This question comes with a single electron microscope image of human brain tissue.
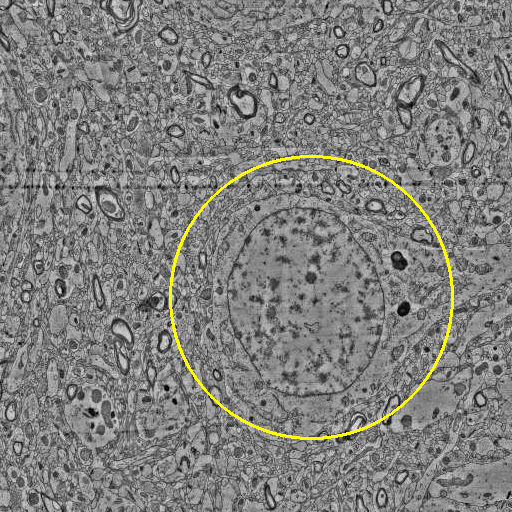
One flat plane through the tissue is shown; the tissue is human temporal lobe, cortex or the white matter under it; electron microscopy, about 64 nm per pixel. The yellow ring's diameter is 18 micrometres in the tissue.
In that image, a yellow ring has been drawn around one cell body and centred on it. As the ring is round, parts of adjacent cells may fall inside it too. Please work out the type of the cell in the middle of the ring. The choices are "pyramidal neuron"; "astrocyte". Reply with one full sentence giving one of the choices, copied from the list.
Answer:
Of the choices, a pyramidal neuron is the cell sitting in the middle of the ring.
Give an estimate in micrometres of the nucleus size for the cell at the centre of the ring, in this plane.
Roughly 12 by 10 micrometres in this plane, for the nucleus of the ringed cell.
